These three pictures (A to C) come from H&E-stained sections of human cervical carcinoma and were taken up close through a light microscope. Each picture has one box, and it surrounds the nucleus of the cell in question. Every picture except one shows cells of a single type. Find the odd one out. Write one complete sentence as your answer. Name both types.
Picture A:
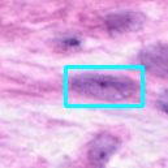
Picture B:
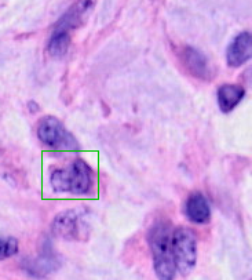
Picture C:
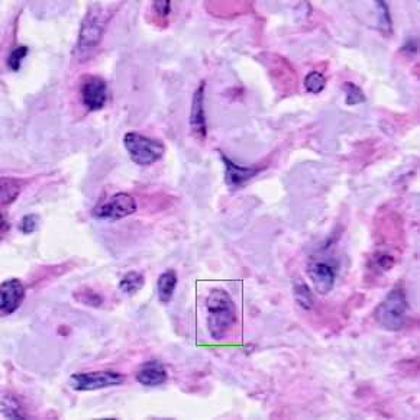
Unlike the rest, which show “macrophages or monocytes”, picture A shows a fibroblast.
